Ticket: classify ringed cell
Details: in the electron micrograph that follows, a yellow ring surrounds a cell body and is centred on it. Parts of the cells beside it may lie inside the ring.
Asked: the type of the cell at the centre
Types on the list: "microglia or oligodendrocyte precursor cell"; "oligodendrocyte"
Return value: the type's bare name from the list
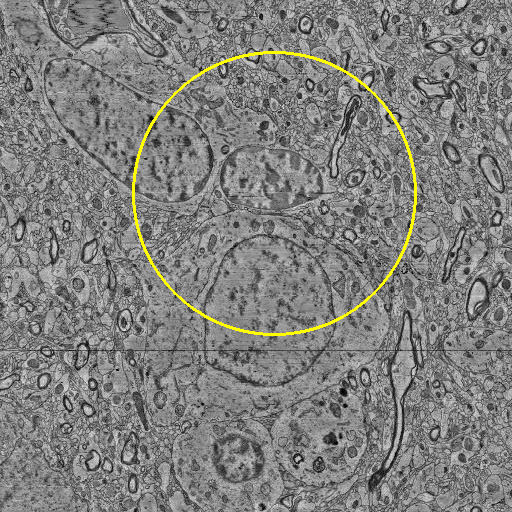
microglia or oligodendrocyte precursor cell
